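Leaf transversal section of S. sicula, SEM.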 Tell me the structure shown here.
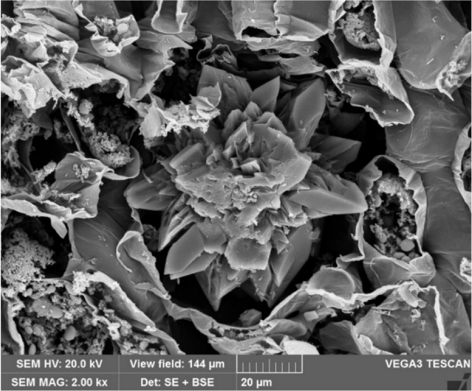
druses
